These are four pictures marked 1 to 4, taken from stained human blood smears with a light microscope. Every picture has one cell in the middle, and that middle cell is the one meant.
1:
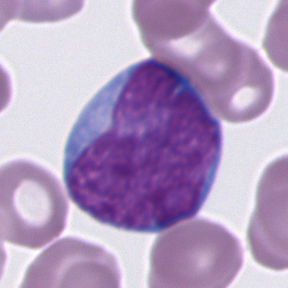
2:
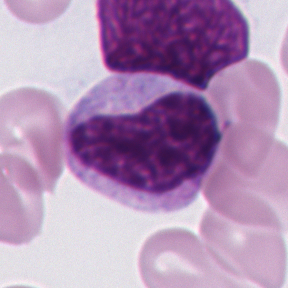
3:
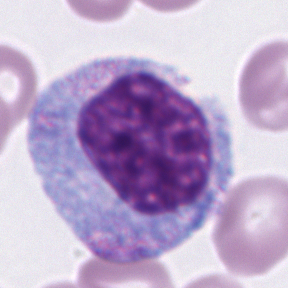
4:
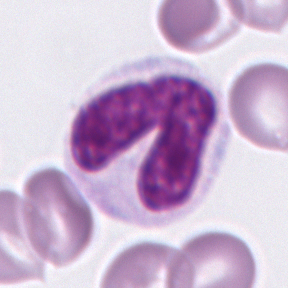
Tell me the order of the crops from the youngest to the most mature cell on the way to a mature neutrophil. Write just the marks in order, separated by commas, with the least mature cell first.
1, 3, 2, 4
